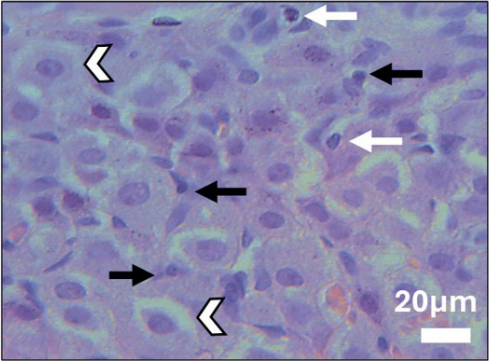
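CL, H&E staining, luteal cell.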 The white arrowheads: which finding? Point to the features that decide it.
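Clear, pale spaces border the cells near the arrowheads. The answer: vacuolation.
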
